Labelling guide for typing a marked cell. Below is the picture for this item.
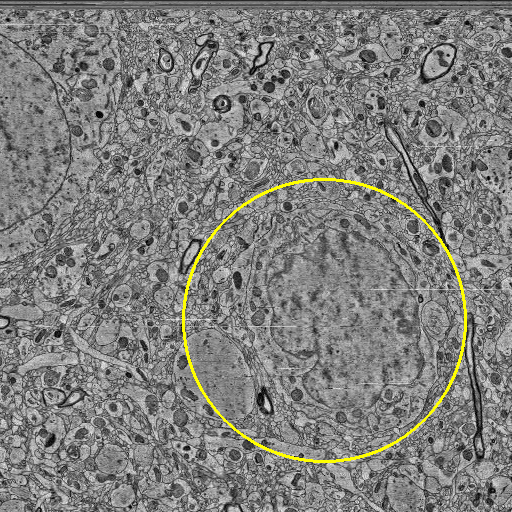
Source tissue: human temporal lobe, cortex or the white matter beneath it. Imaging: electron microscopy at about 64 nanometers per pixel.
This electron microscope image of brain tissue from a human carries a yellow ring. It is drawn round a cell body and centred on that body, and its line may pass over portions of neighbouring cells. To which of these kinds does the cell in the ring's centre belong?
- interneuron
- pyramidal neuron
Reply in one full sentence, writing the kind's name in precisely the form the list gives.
Here we have an interneuron at the centre of the yellow ring in the picture.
